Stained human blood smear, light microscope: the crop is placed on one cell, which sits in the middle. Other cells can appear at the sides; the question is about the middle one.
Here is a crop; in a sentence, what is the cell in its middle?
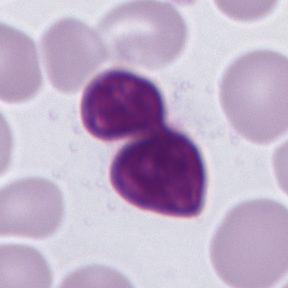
In the middle of this smear crop, the cell is a smudge cell.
